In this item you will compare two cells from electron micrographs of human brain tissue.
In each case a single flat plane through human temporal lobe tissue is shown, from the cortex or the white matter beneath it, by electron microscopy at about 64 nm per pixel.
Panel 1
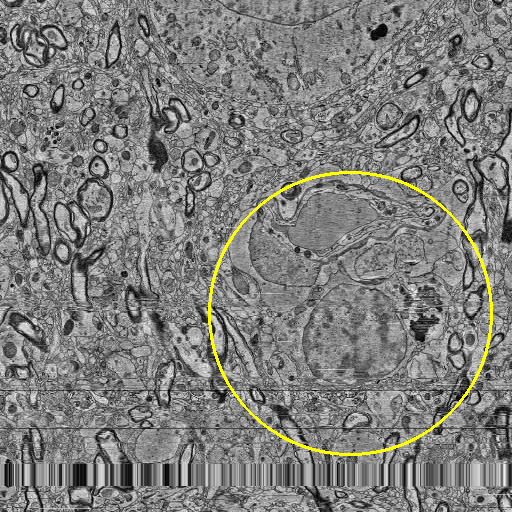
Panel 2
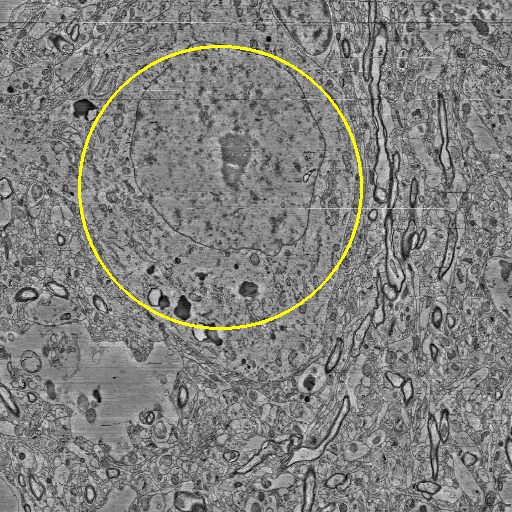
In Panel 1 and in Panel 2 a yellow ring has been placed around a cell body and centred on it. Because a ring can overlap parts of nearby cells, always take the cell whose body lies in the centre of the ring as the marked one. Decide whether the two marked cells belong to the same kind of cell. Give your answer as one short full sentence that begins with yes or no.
No, the two marked cells belong to two kinds of cell.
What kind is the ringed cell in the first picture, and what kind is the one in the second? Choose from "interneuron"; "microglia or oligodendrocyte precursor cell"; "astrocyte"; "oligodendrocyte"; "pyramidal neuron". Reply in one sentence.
The first cell is an oligodendrocyte; the second is a pyramidal neuron.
